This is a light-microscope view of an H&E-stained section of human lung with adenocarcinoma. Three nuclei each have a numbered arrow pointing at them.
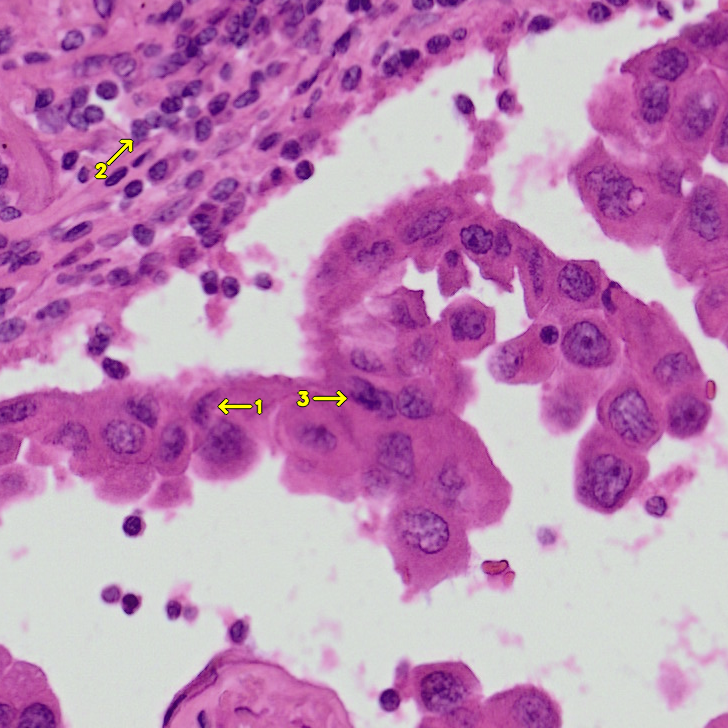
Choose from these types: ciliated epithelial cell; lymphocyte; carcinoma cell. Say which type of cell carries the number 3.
carcinoma cell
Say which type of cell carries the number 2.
lymphocyte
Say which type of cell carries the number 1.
carcinoma cell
